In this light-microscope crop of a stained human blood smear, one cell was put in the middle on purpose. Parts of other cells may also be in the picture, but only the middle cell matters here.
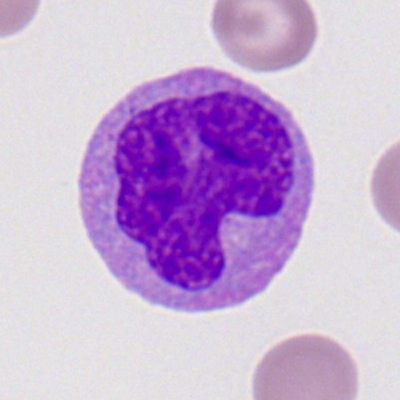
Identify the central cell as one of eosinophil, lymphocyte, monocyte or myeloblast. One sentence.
The central cell shown in this smear crop is a monocyte.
